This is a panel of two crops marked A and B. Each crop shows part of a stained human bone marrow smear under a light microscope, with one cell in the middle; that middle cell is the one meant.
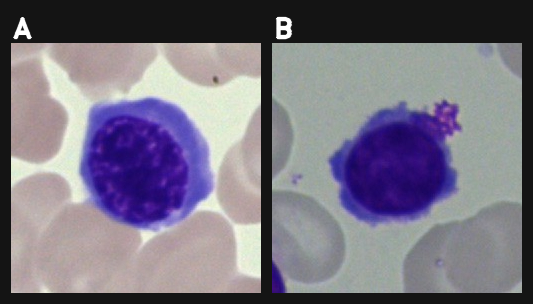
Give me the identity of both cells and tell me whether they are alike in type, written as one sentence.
No, crop A has an erythroblast in the middle, and crop B has a lymphocyte.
